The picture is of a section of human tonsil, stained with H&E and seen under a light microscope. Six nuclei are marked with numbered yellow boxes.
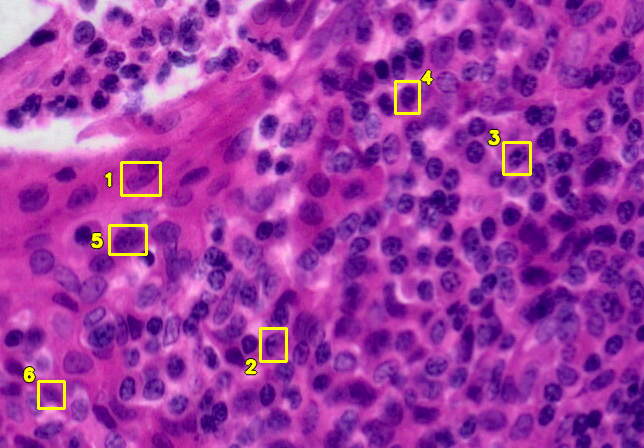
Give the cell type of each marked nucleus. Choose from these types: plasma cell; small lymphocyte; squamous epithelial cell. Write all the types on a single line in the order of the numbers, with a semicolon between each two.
squamous epithelial cell; plasma cell; plasma cell; plasma cell; squamous epithelial cell; squamous epithelial cell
